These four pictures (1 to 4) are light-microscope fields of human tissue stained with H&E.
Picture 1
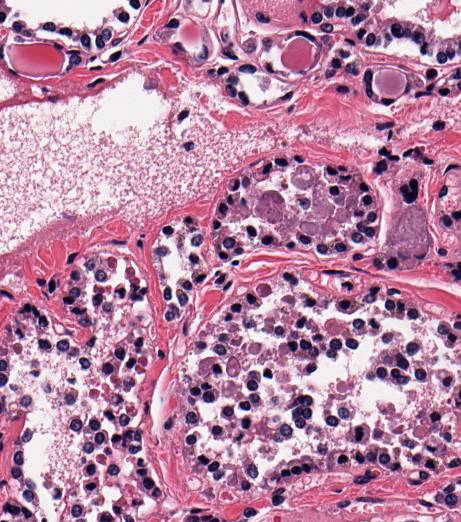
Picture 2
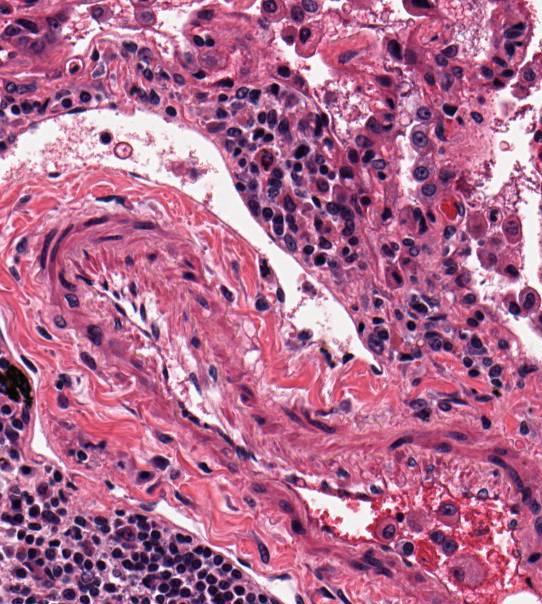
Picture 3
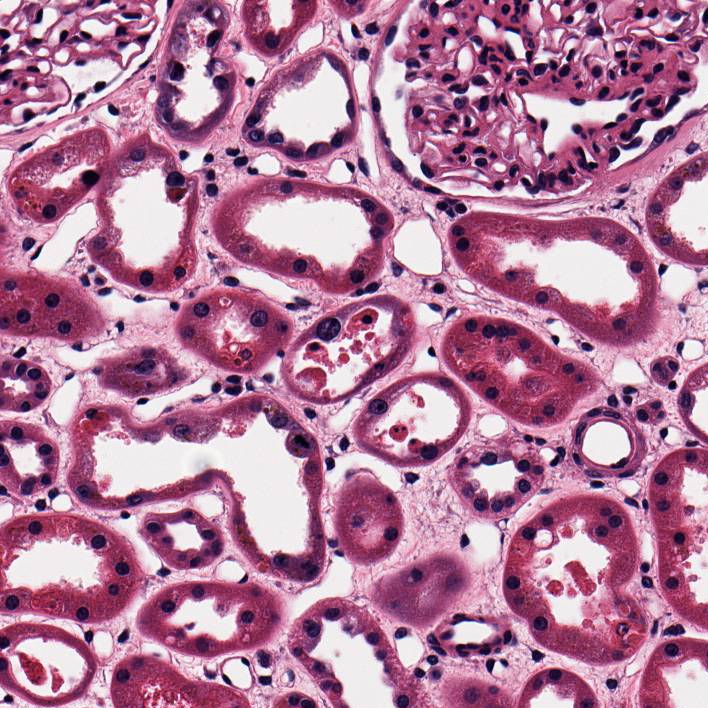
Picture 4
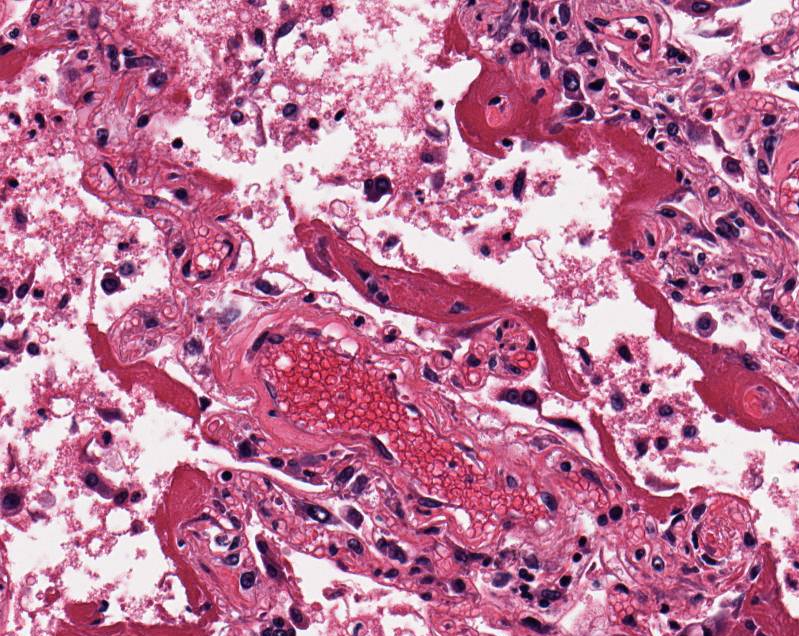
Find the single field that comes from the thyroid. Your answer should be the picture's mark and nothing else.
1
